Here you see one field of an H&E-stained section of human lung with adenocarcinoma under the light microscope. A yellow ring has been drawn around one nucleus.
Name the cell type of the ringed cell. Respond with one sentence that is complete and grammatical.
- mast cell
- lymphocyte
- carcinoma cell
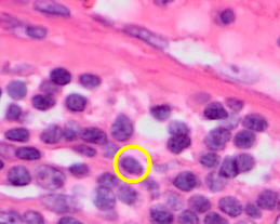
What the ringed cell represents is a lymphocyte.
